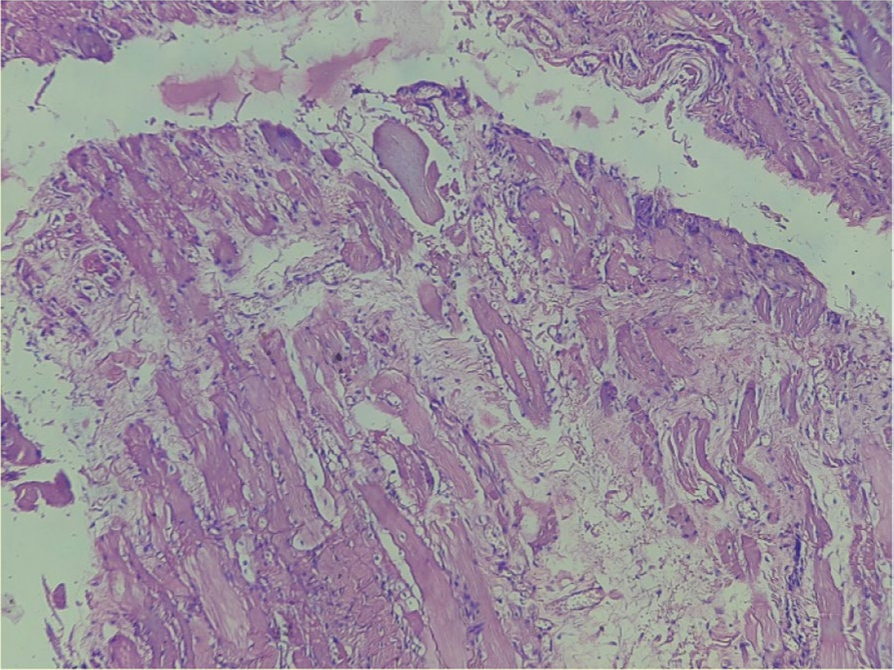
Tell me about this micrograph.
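This is a low-power view of tissue made up largely of elongated, pink-staining muscle fibres that run obliquely across the field. The fibres are set in loose, pale, wispy fibrous stroma. Many fibres look broken into short, irregular segments with ragged or tapering ends. Some segments appear pale and homogeneous and contain few nuclei. Small, dark purple nuclei are scattered through the stroma between the fibres, most likely fibroblasts and inflammatory cells. At the top of the field, a cleft of empty space separates this tissue from a strip of similar fibrous and muscular tissue, and some pale pink amorphous material lies within that cleft.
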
